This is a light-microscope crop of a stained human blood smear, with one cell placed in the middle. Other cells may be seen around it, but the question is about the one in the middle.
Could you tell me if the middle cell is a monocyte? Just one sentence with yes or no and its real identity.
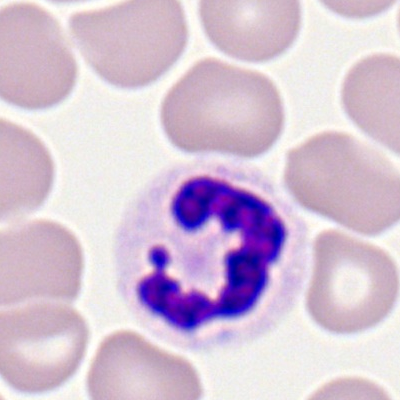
No, the cell occupying the centre is a segmented neutrophil, not a monocyte.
